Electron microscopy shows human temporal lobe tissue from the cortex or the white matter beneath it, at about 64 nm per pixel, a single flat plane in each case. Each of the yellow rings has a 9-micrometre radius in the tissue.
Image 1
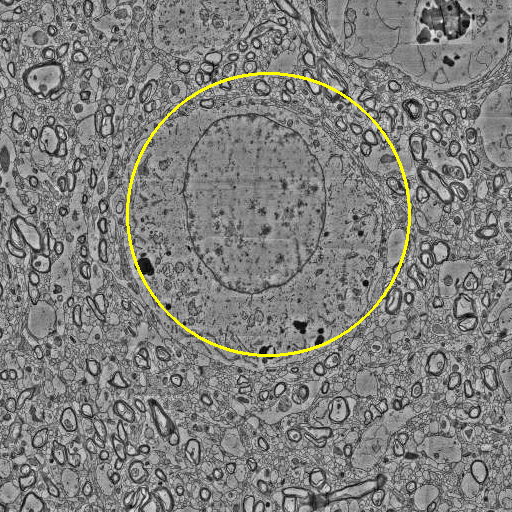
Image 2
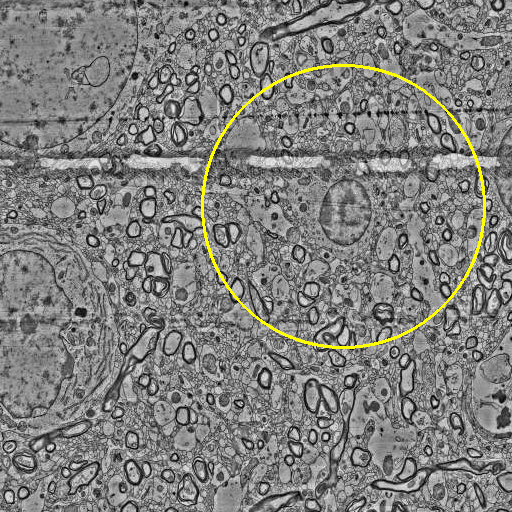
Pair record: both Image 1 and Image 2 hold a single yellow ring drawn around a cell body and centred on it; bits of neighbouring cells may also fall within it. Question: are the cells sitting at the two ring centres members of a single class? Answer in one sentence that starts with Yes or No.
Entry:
No, the ring-centre cells in Image 1 and Image 2 come from two classes.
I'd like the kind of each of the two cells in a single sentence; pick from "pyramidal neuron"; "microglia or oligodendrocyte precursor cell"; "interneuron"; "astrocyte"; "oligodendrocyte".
The first ring marks a pyramidal neuron, and the second ring marks an oligodendrocyte.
